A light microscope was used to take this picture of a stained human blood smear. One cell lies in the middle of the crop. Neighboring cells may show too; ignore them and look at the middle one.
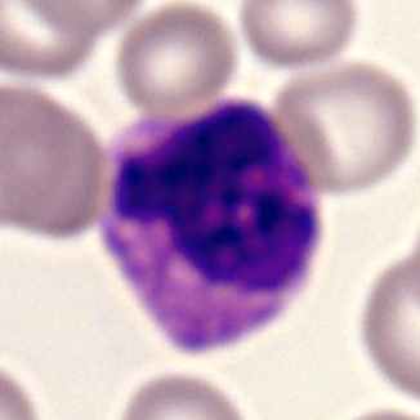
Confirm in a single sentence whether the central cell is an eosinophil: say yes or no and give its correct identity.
No, the identification should read a basophil, not an eosinophil, for the central cell.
